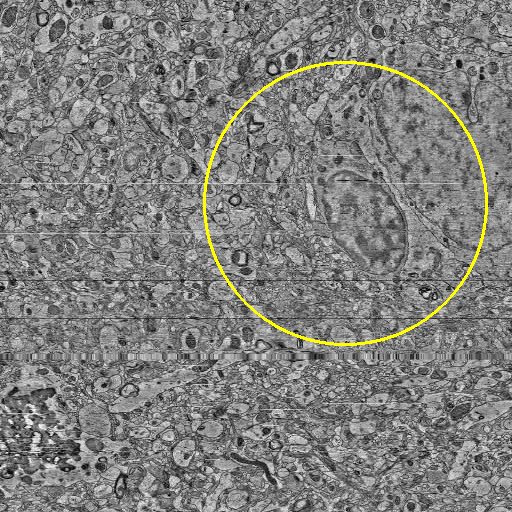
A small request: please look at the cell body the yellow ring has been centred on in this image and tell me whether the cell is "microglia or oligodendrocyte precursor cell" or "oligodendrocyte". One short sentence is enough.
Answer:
The cell marked by the ring is an oligodendrocyte.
